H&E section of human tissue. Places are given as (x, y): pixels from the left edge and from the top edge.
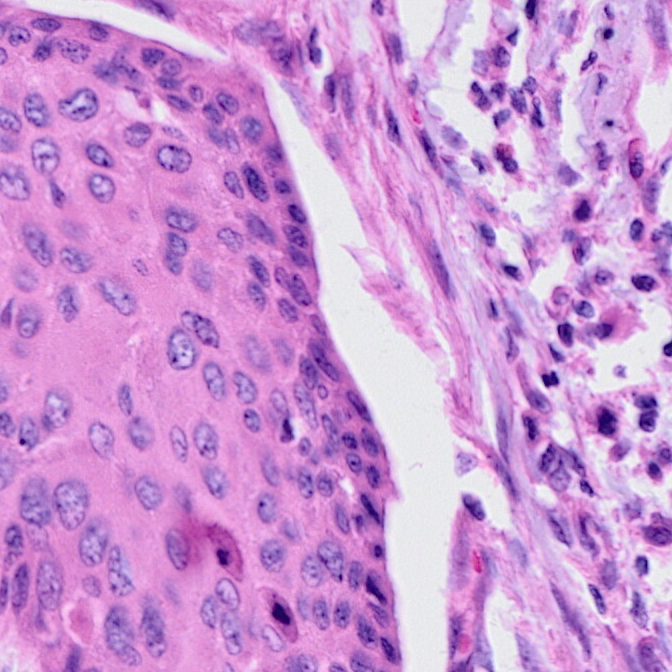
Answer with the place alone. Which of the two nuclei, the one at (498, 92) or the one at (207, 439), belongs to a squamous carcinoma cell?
(207, 439)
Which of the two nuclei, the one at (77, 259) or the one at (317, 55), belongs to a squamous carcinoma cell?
(77, 259)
